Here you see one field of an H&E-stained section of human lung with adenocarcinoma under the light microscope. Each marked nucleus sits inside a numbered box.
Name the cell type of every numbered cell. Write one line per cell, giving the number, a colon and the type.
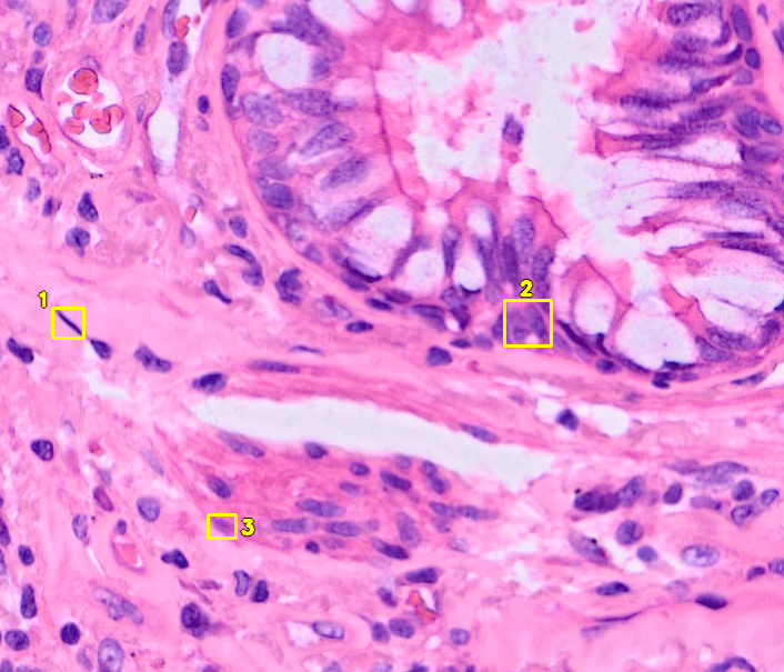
1: fibroblast
2: ciliated epithelial cell
3: smooth muscle cell or pericyte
